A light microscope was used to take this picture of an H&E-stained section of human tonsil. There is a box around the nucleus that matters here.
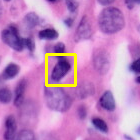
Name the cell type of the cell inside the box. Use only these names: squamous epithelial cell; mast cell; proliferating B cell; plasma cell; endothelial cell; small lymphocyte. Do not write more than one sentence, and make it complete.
In terms of identity, the cell inside the box is an endothelial cell.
